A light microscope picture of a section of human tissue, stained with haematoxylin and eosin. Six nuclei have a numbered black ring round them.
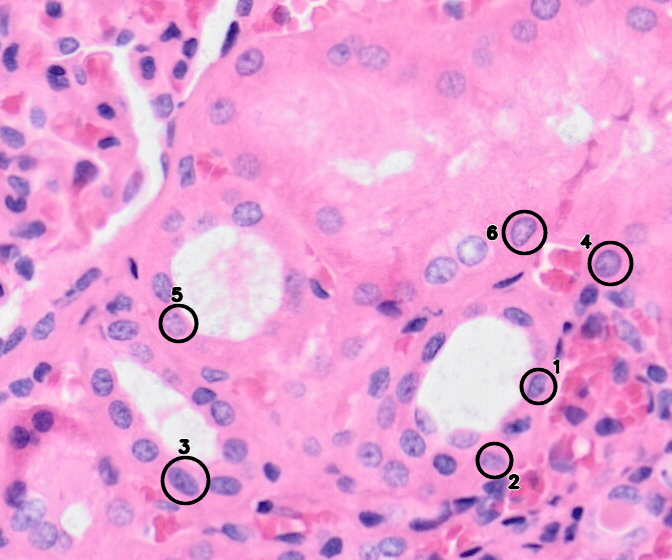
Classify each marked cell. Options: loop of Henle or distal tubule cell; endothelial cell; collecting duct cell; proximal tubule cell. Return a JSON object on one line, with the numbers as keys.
{"1": "loop of Henle or distal tubule cell", "2": "loop of Henle or distal tubule cell", "3": "collecting duct cell", "4": "proximal tubule cell", "5": "loop of Henle or distal tubule cell", "6": "proximal tubule cell"}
